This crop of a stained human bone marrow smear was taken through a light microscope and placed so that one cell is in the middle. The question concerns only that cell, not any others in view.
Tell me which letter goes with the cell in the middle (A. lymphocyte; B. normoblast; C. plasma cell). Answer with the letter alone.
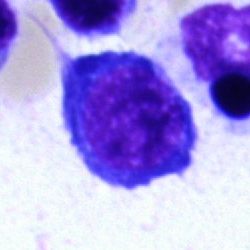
B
